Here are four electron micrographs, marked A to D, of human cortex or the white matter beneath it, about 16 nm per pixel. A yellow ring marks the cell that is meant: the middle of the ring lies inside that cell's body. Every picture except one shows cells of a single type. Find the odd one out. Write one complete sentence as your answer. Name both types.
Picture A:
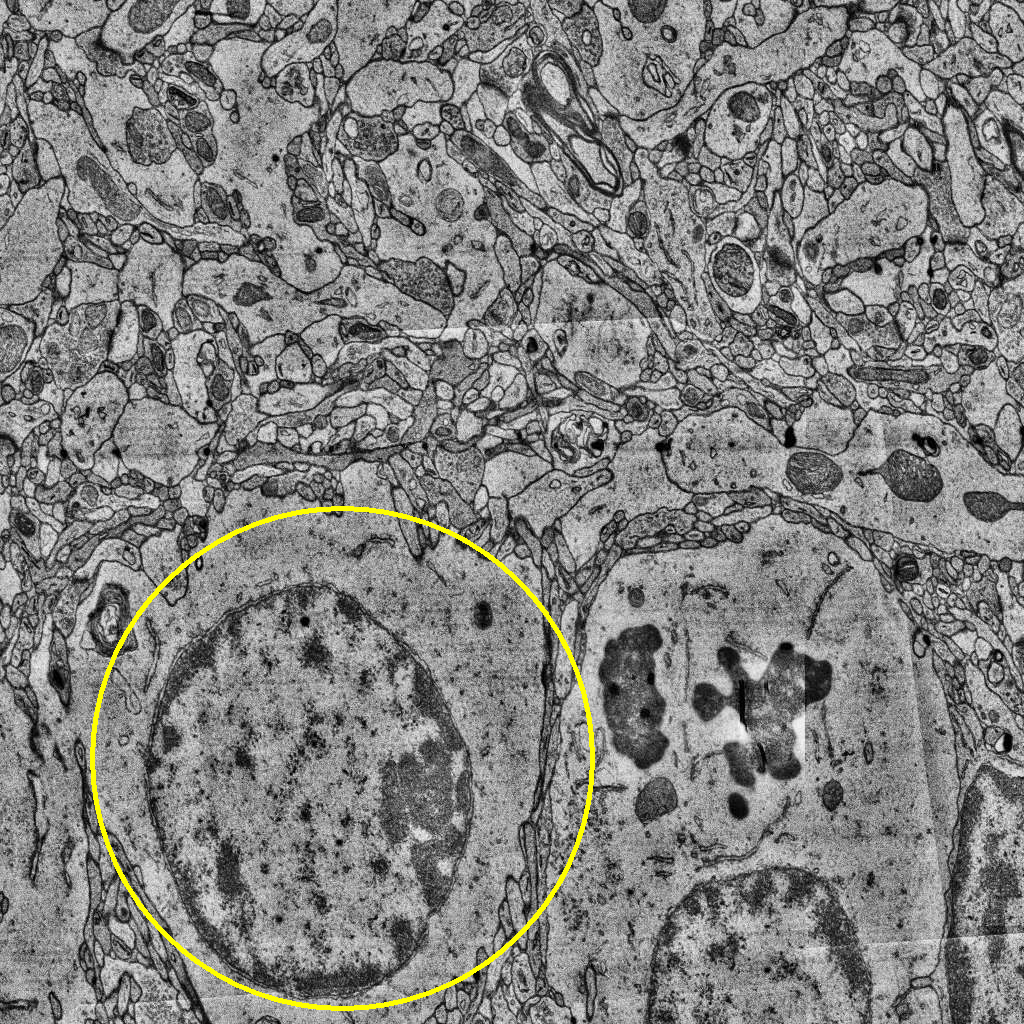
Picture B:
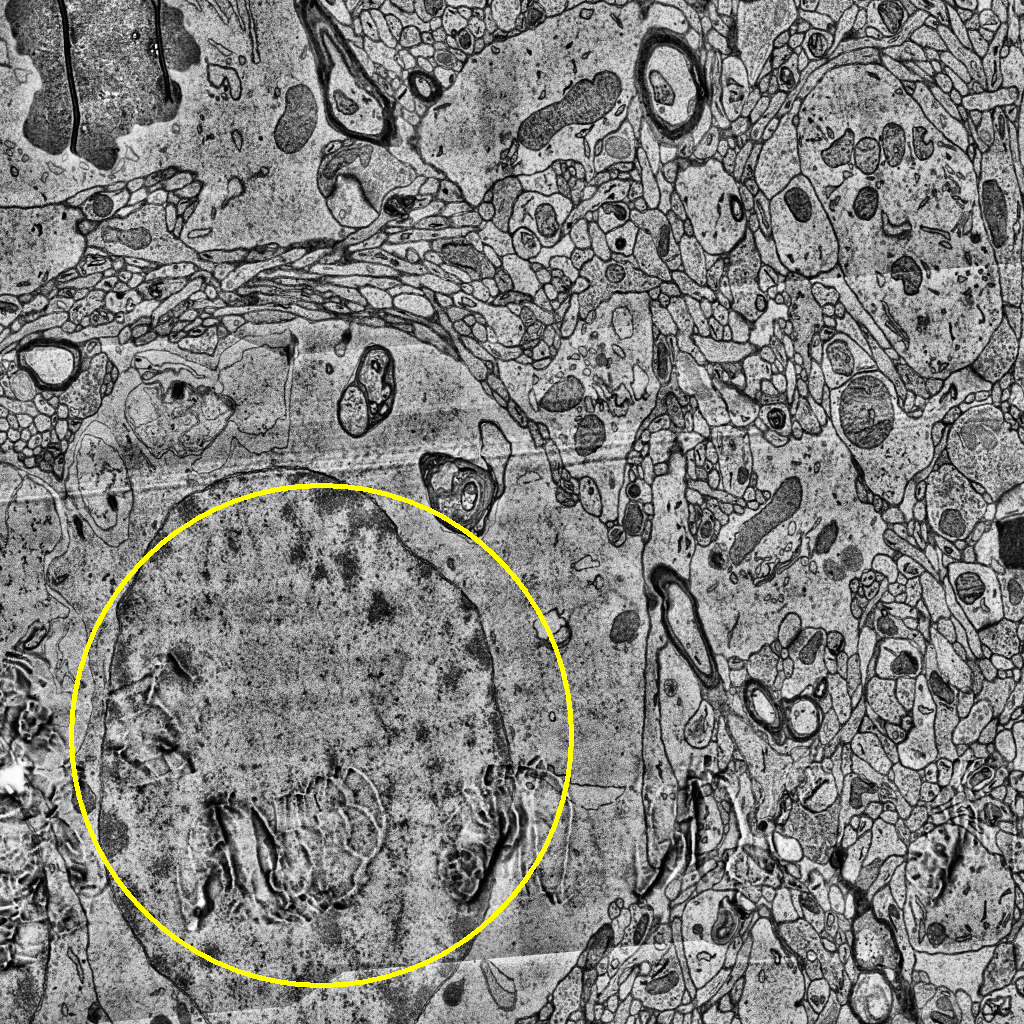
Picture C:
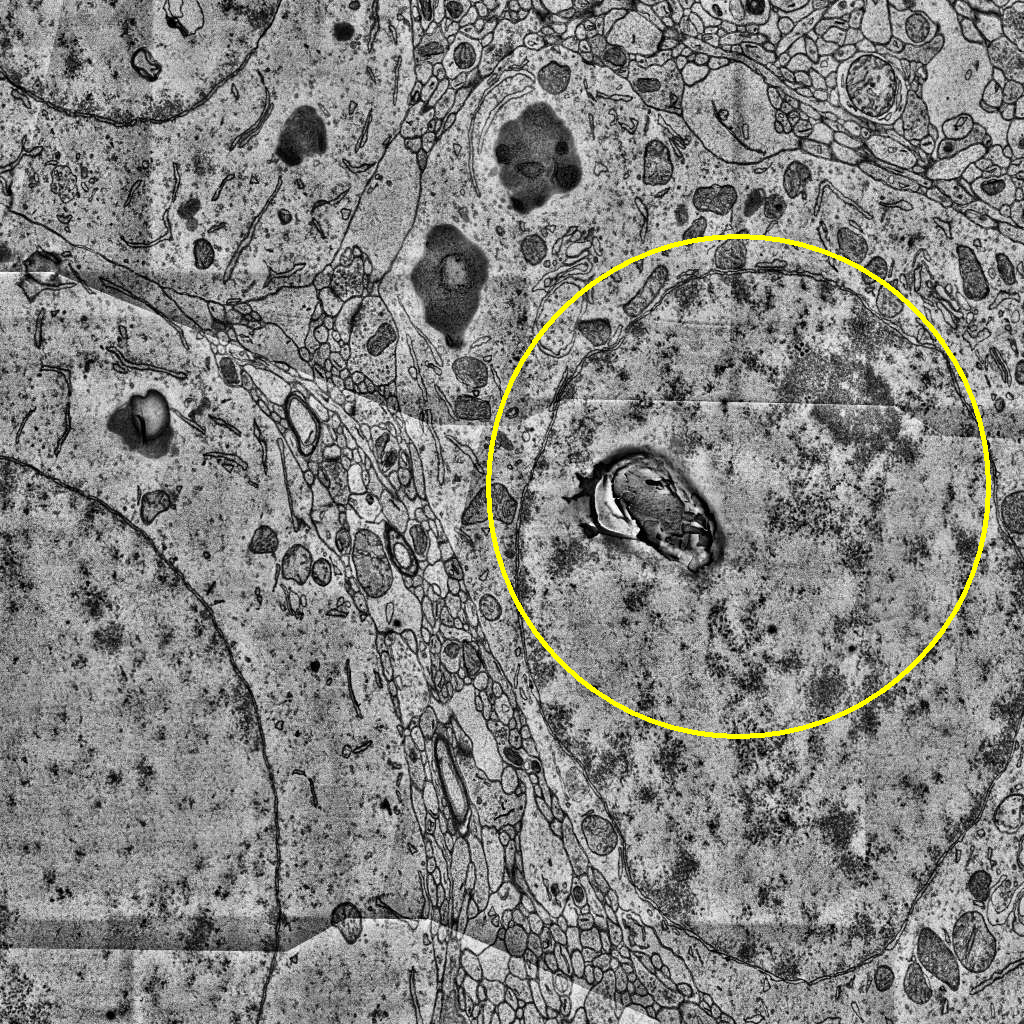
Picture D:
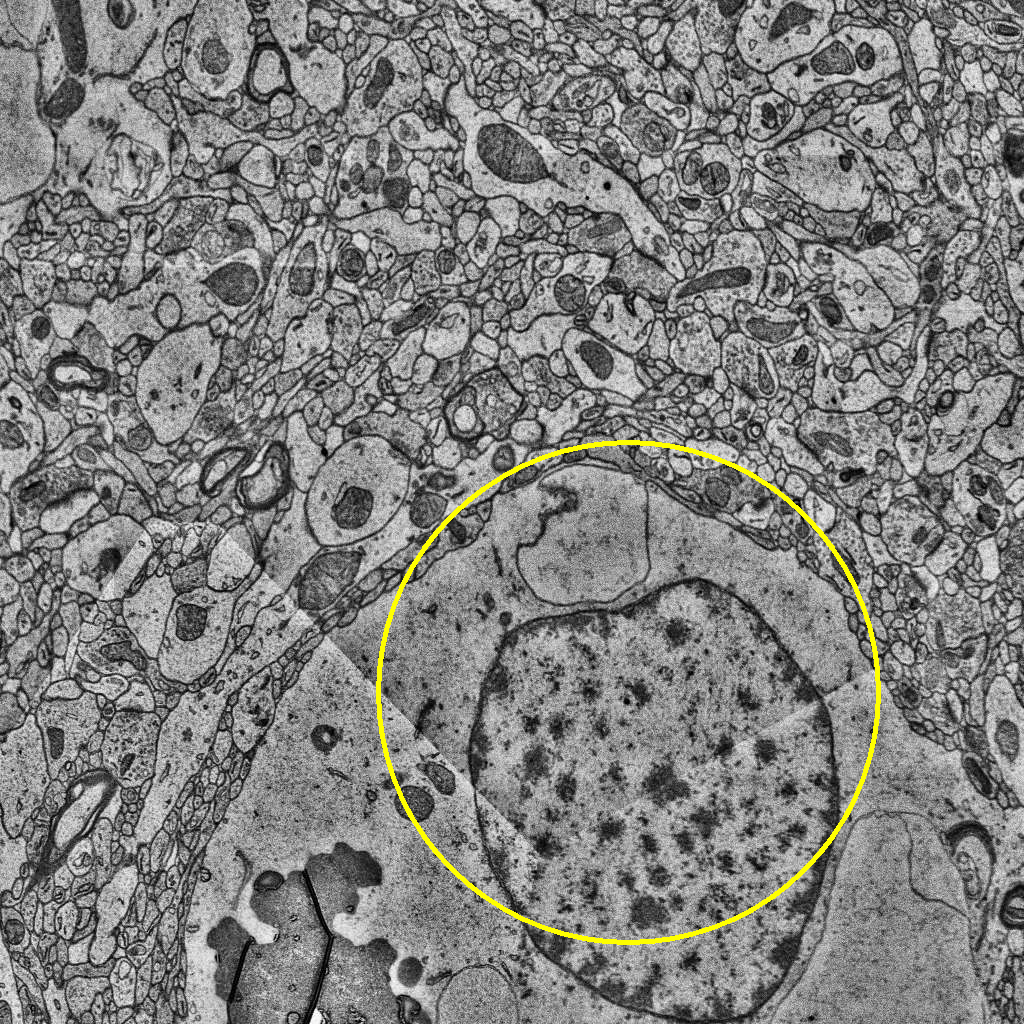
Unlike the rest, which show astrocytes, picture C shows an interneuron.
